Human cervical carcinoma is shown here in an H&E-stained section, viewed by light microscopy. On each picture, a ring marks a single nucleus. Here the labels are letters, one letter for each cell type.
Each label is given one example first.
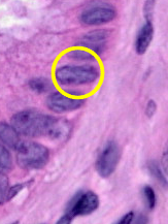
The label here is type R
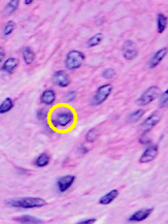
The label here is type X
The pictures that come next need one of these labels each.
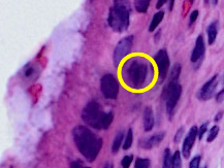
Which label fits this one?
type R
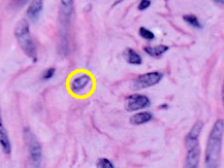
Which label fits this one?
type X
